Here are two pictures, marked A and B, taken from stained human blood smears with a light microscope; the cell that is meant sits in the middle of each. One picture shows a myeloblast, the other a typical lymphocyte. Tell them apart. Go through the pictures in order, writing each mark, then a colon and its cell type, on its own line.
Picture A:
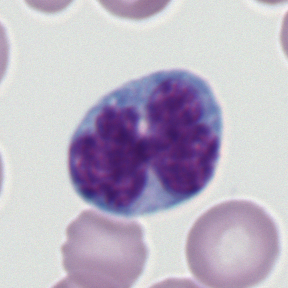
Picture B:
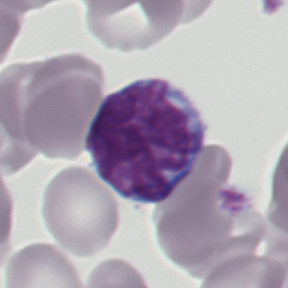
A: myeloblast
B: typical lymphocyte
